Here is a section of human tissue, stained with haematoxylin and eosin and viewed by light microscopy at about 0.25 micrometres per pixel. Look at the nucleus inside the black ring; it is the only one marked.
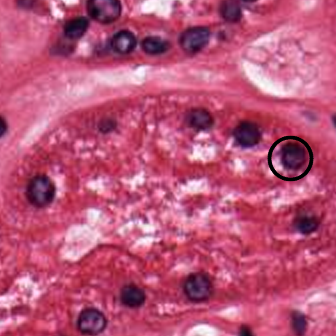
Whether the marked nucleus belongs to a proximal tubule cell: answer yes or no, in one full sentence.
Yes, the nucleus indicated by the marking belongs to a proximal tubule cell.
